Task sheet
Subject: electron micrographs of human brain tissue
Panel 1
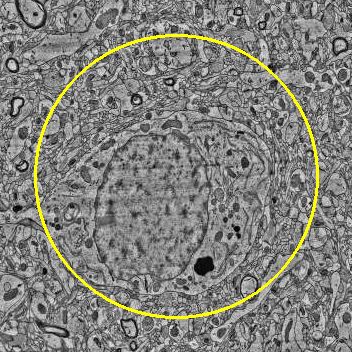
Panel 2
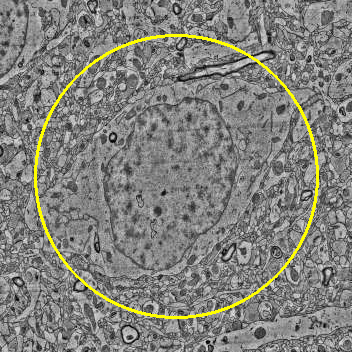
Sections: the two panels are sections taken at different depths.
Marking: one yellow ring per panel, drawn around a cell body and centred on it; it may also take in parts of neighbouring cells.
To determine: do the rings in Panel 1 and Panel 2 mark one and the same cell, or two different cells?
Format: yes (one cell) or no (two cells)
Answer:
no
